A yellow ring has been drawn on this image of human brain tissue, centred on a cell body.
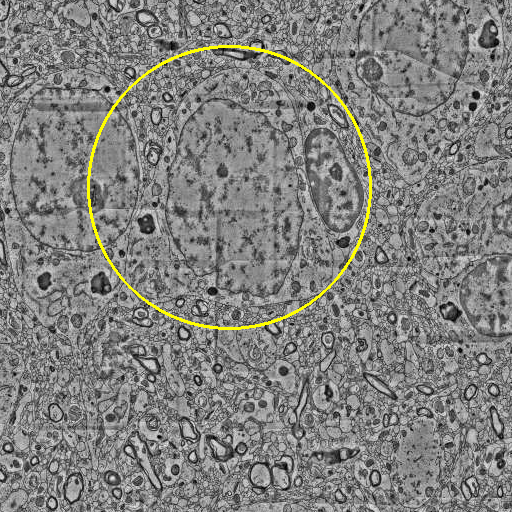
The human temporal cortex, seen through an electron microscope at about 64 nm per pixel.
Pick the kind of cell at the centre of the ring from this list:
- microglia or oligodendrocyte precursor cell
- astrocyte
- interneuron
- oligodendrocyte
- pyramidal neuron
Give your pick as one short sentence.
The centre of the ring holds a pyramidal neuron.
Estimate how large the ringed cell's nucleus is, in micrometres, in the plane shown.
The nucleus comes to roughly 13 by 9 micrometres in this plane.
